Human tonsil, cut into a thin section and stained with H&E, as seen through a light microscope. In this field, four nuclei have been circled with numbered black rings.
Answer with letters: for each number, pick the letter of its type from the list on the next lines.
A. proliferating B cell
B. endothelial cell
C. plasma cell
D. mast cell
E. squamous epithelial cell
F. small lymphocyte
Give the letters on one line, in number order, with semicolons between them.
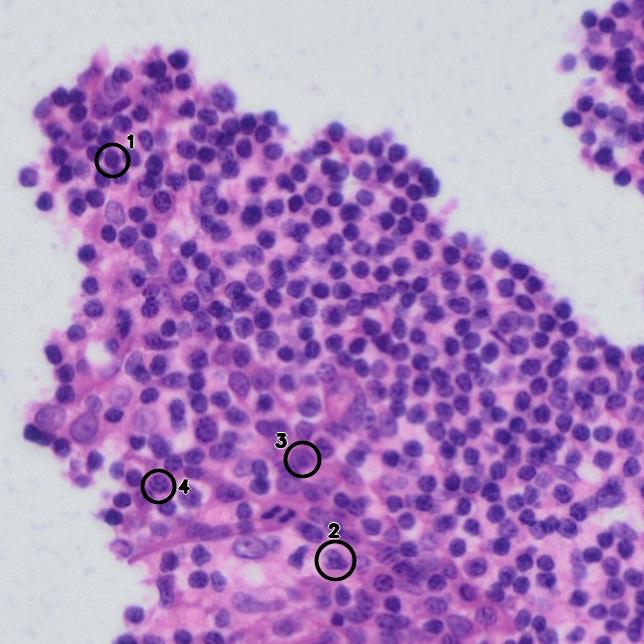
F; C; E; C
